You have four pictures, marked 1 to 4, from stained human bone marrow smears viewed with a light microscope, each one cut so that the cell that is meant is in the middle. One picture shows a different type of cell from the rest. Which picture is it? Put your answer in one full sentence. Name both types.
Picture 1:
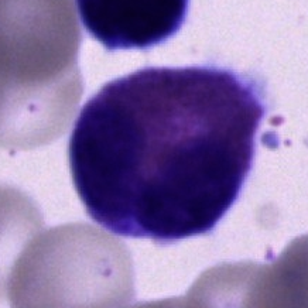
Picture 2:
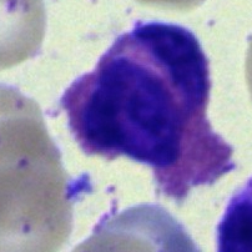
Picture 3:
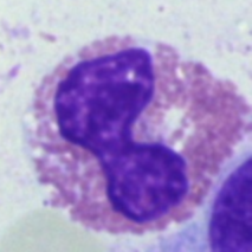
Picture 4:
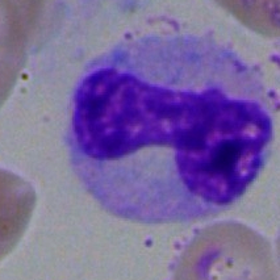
The different one is picture 4; it shows a band neutrophil, whereas all the others show eosinophils.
